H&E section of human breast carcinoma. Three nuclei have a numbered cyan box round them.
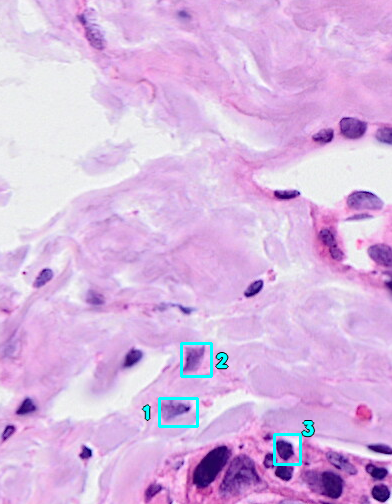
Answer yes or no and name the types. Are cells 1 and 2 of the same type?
Yes, cells 1 and 2 are fibroblasts, both of them.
